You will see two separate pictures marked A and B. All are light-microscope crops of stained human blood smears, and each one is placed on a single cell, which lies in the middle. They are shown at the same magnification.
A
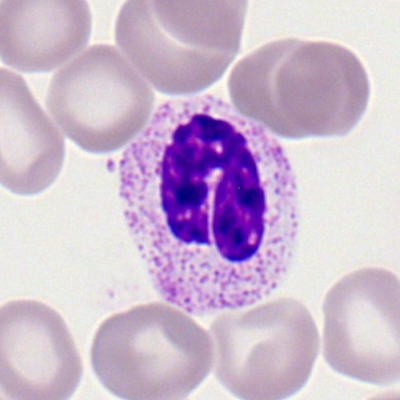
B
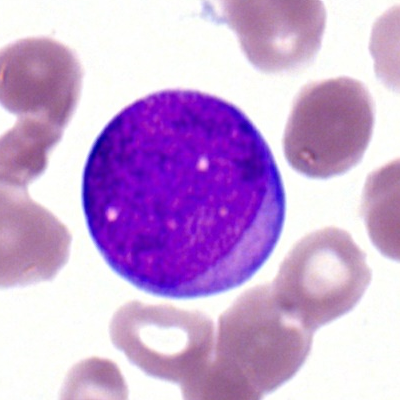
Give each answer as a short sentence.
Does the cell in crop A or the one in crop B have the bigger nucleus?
It is the nucleus in crop B, about 2.5 times as large in area as the one in crop A.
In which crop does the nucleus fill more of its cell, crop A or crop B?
In crop B the nucleus takes up the larger part of its cell.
